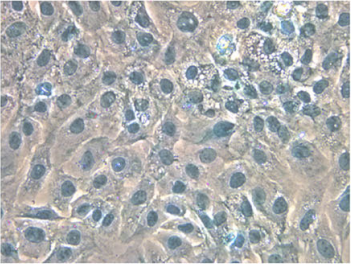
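These are cultured cells packed in a dense layer, most of them polygonal, each with a single round to oval nucleus that takes a blue-grey colour. Around many nuclei the cytoplasm holds fine granules and small clear vacuoles, and bright lines mark the borders between neighbouring cells.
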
